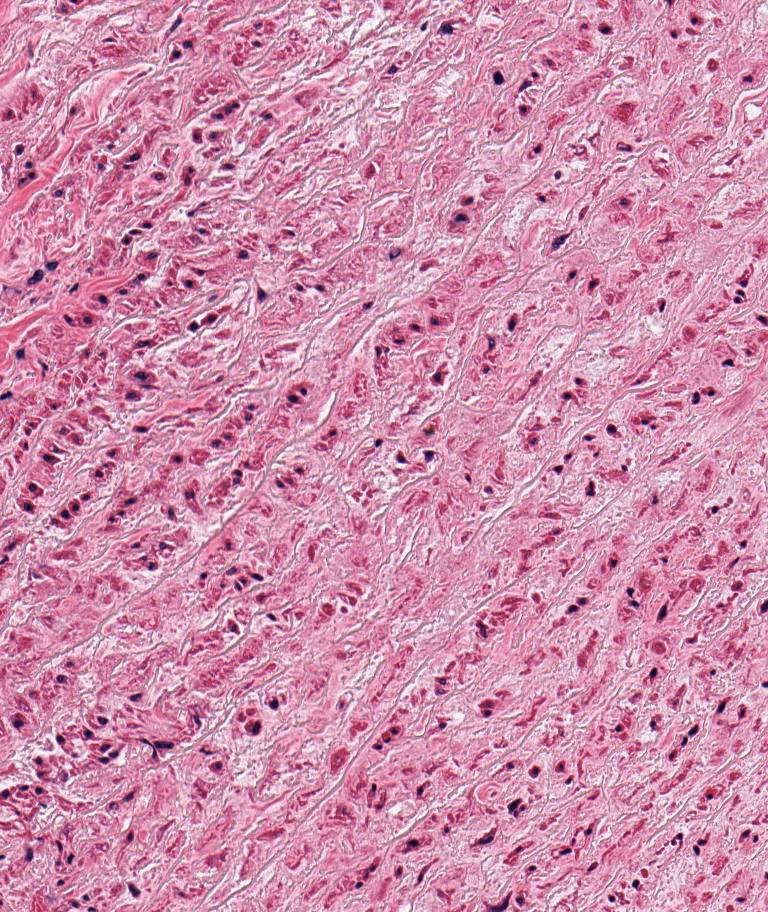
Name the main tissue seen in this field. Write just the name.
tunica media of an artery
